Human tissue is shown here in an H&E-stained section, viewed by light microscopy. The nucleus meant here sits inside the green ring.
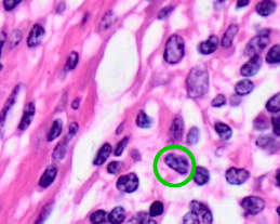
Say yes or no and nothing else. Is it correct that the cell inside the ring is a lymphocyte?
yes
